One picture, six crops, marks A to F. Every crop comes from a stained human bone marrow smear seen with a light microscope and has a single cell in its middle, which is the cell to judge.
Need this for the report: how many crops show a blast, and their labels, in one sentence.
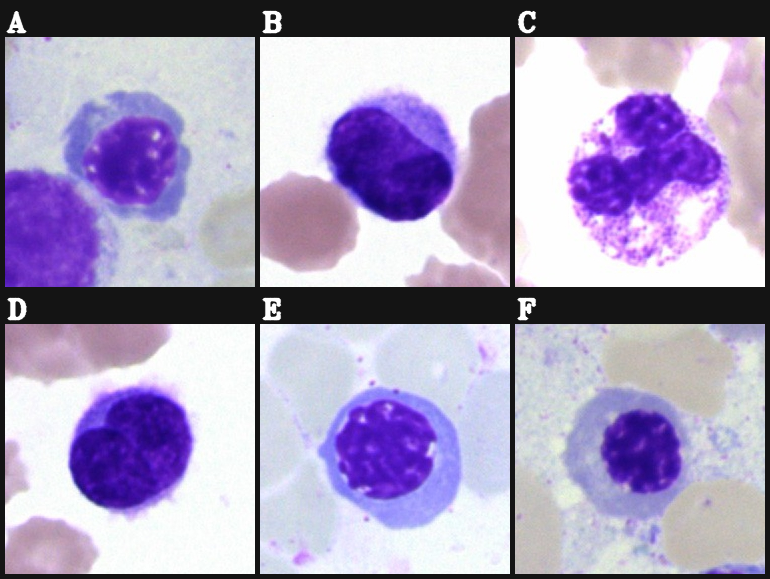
Not one crop shows blasts; the count is therefore zero.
